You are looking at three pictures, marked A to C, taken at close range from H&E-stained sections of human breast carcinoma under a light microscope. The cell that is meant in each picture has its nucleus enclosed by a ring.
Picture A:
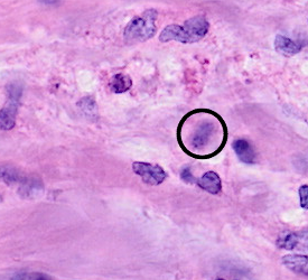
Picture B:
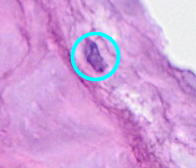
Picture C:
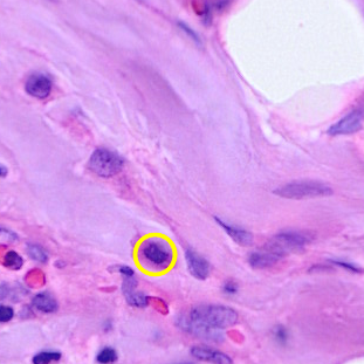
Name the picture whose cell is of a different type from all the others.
B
